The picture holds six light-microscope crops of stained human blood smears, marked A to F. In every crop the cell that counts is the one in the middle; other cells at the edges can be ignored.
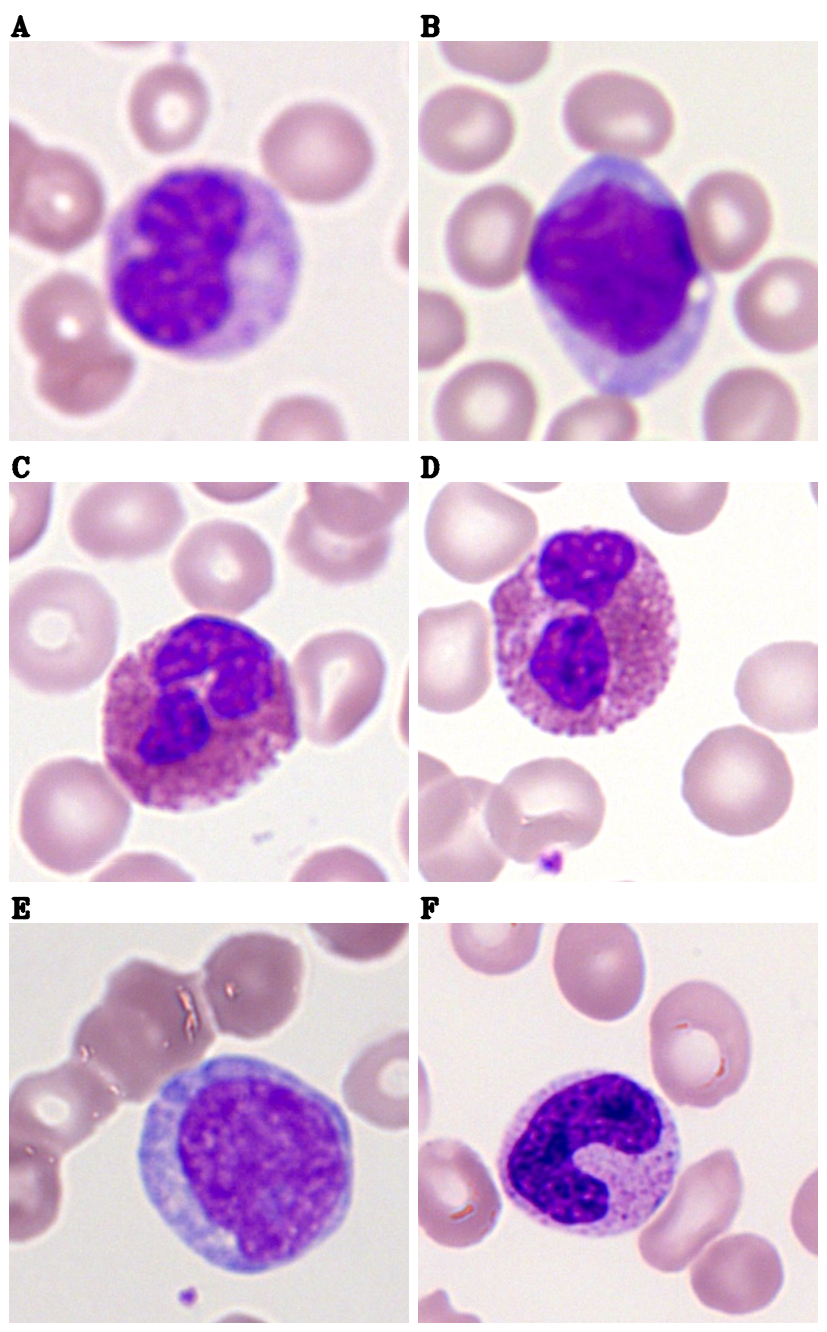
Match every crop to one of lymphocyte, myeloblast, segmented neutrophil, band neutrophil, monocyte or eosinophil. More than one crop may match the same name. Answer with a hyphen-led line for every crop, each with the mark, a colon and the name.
- A: band neutrophil
- B: myeloblast
- C: eosinophil
- D: eosinophil
- E: monocyte
- F: band neutrophil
